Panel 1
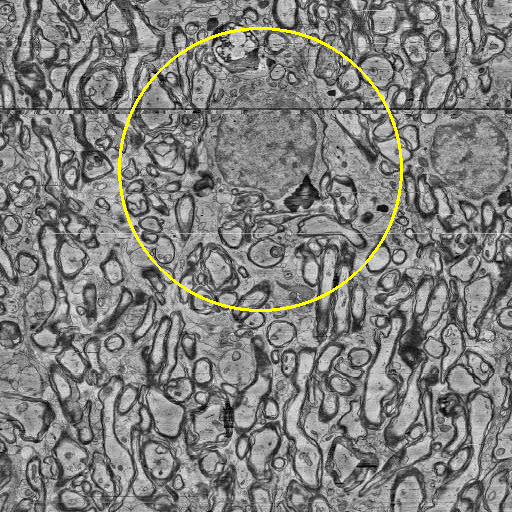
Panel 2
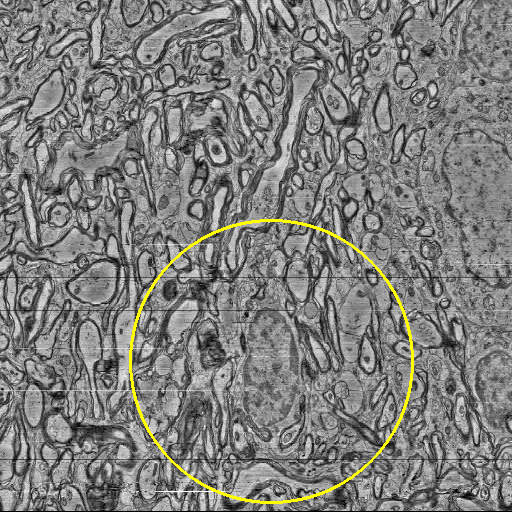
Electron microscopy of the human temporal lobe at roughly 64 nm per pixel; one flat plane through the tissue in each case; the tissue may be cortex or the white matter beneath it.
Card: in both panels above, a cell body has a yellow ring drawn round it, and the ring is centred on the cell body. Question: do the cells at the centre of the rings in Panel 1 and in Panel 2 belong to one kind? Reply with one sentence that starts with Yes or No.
Yes, the cells centred in the rings of Panel 1 and Panel 2 are one kind of cell.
